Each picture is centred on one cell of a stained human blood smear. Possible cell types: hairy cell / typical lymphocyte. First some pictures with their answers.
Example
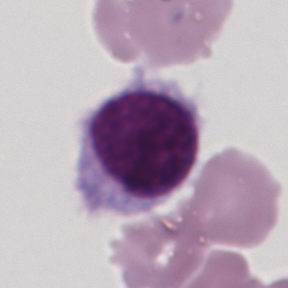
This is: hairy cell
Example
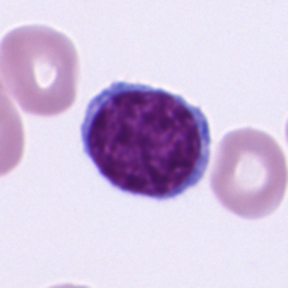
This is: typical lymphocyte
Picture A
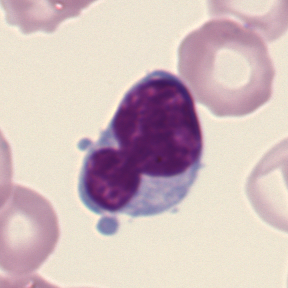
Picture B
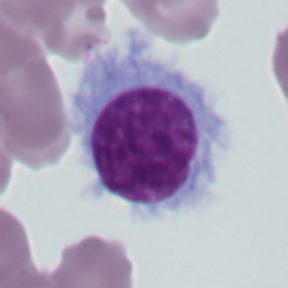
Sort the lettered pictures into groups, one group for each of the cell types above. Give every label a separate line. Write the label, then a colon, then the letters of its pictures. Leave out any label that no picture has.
hairy cell: B
typical lymphocyte: A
